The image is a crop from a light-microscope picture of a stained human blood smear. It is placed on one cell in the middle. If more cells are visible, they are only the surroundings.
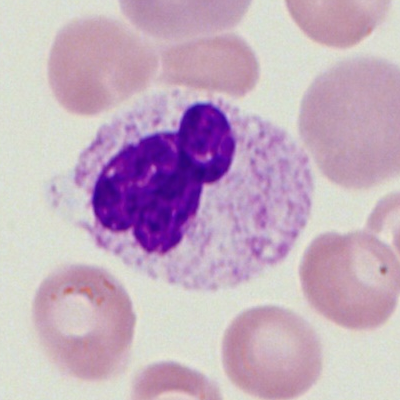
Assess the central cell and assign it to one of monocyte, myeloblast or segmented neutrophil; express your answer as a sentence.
The centrally placed cell is classified as a segmented neutrophil.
